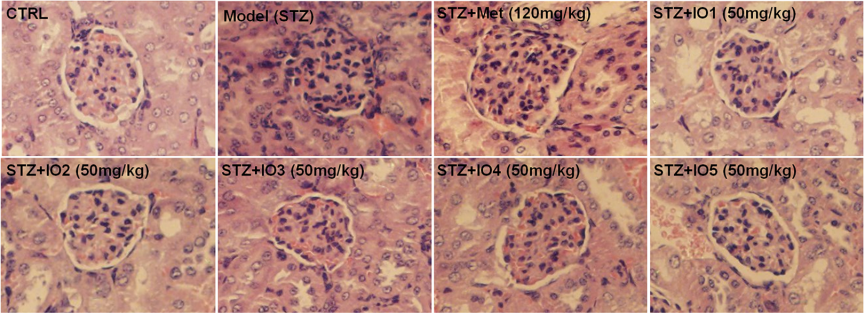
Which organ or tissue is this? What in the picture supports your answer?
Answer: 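Each tile is centred on a round tuft of capillaries with many nuclei inside a thin capsule. The tufts are surrounded by tubules lined by cuboidal cells with pink cytoplasm. So: kidney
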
